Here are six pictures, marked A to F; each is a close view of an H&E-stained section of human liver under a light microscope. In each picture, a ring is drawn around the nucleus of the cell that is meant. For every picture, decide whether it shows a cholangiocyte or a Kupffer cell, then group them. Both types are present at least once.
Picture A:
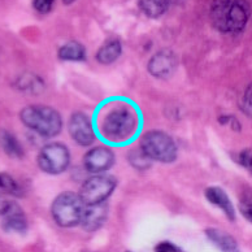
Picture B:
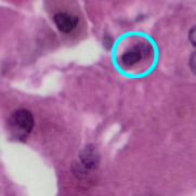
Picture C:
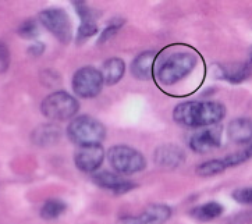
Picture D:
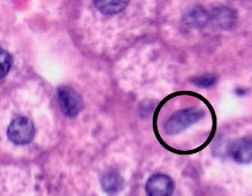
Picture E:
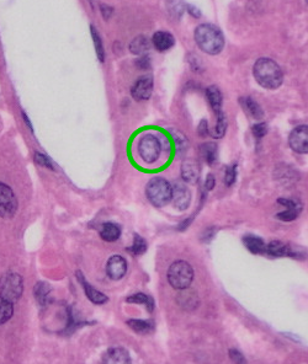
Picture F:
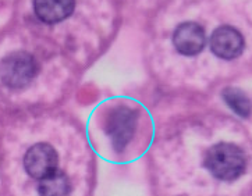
A: cholangiocyte
B: Kupffer cell
C: cholangiocyte
D: Kupffer cell
E: cholangiocyte
F: Kupffer cell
